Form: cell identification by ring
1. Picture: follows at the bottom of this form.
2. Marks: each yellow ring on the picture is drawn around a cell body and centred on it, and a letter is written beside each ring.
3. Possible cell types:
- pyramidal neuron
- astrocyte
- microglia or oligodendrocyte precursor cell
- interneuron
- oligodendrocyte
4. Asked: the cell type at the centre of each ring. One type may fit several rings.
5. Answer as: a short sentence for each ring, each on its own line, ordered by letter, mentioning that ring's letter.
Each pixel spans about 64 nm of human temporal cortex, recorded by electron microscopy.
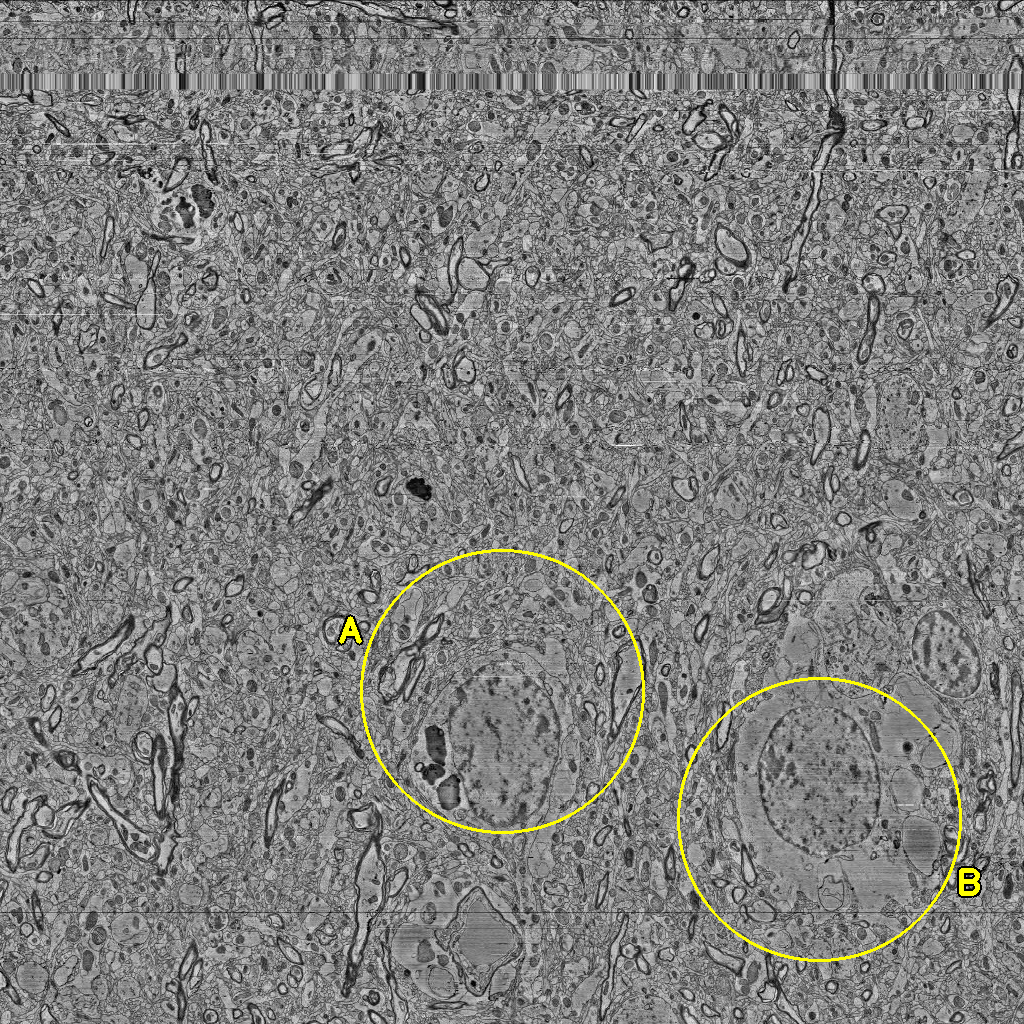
The cell at ring A's centre is an interneuron.
The cell at ring B's centre is an astrocyte.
